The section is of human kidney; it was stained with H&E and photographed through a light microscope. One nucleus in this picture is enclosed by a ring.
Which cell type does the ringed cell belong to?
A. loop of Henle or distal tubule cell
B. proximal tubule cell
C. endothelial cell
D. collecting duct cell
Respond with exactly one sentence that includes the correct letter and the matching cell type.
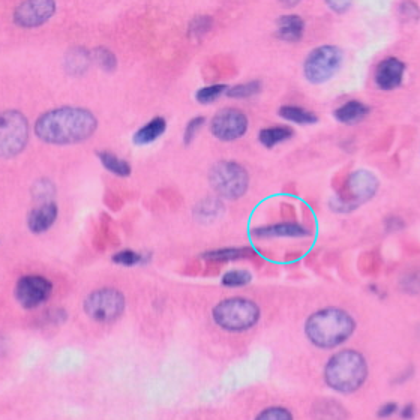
Answer with option C; the ringed cell is an endothelial cell.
